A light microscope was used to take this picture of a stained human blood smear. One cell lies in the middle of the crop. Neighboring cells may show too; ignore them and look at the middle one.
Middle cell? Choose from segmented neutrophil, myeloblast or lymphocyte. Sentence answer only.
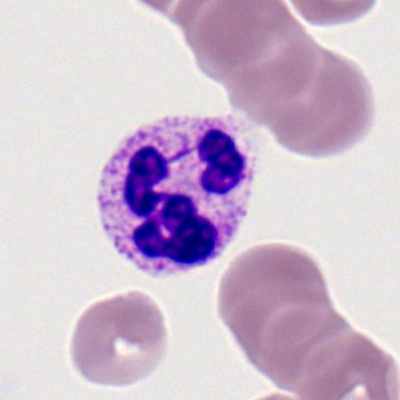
In this crop, the cell at the very middle is a segmented neutrophil.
